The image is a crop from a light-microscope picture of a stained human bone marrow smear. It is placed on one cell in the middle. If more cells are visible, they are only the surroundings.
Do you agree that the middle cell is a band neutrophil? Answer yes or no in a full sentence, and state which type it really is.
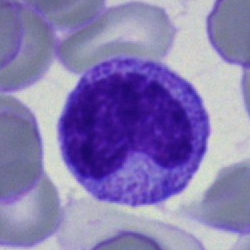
No, what occupies the middle of the crop is a metamyelocyte and not a band neutrophil.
